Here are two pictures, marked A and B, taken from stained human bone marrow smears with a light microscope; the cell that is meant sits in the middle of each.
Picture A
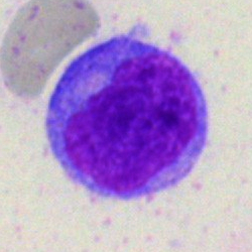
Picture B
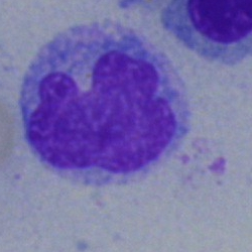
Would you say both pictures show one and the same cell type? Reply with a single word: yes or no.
yes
